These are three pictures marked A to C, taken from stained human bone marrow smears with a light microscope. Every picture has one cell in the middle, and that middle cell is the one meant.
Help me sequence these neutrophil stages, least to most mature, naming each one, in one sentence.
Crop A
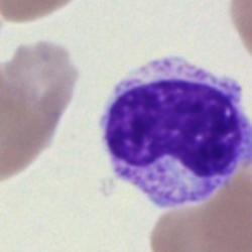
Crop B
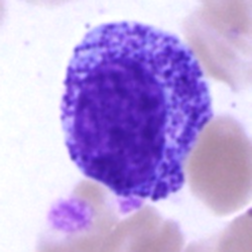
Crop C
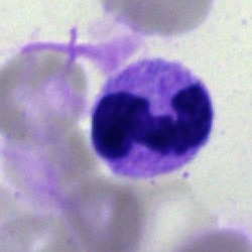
In terms of maturity, from least to most, the order is crop B (a promyelocyte), crop A (a metamyelocyte) and crop C (a segmented neutrophil).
